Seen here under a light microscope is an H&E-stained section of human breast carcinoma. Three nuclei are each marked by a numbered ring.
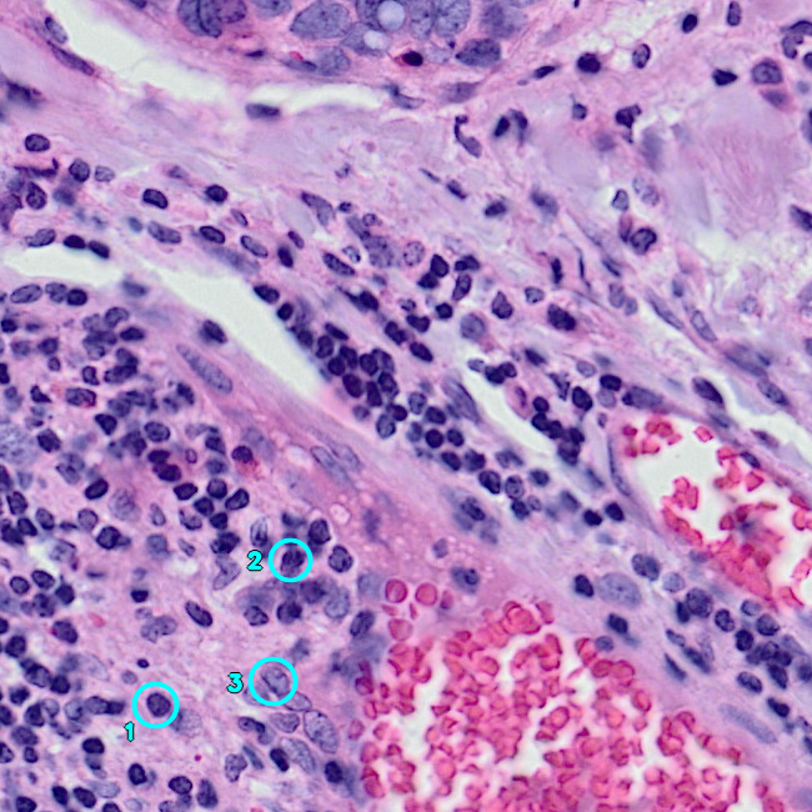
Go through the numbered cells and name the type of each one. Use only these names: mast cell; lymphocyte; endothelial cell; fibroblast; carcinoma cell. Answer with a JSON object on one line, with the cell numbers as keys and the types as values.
{"1": "lymphocyte", "2": "lymphocyte", "3": "endothelial cell"}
